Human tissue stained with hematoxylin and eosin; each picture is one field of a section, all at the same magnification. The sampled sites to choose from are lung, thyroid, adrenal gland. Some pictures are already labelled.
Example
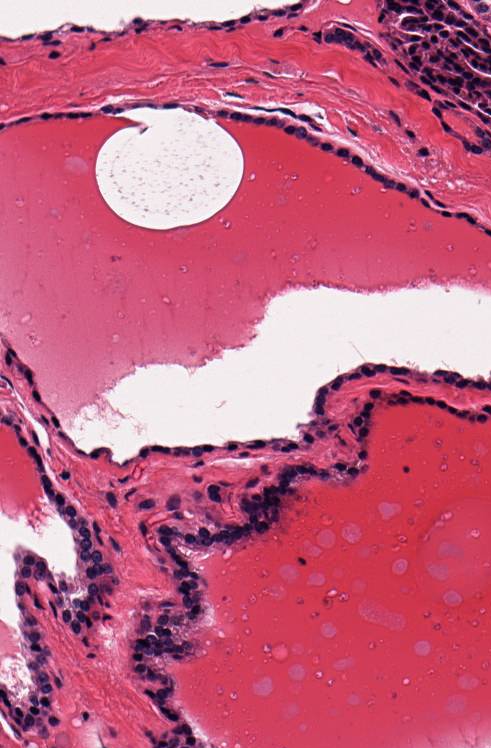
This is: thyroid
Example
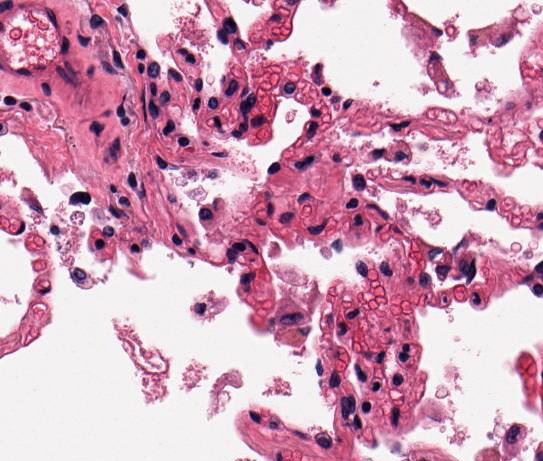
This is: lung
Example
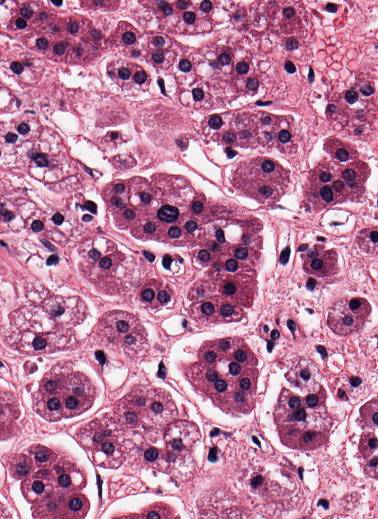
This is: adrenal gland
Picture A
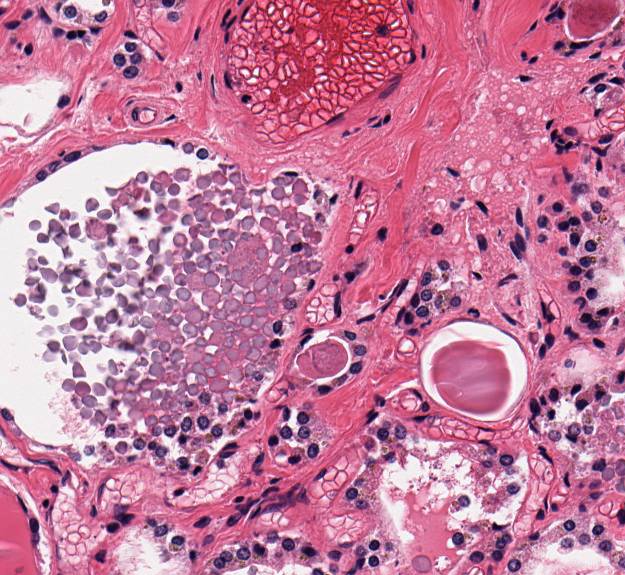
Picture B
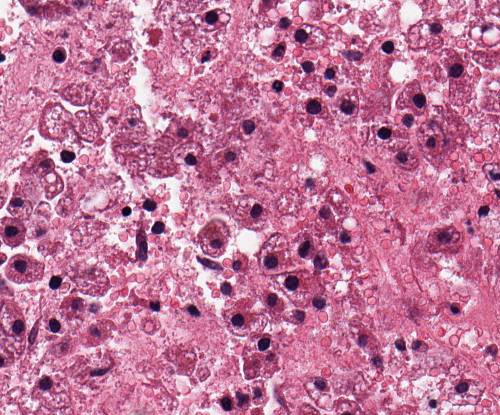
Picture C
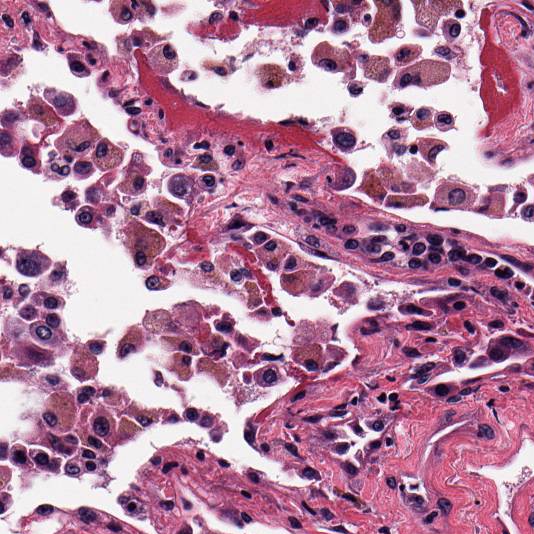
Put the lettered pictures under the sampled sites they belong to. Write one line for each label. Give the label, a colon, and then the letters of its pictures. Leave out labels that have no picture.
lung: C
thyroid: A
adrenal gland: B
